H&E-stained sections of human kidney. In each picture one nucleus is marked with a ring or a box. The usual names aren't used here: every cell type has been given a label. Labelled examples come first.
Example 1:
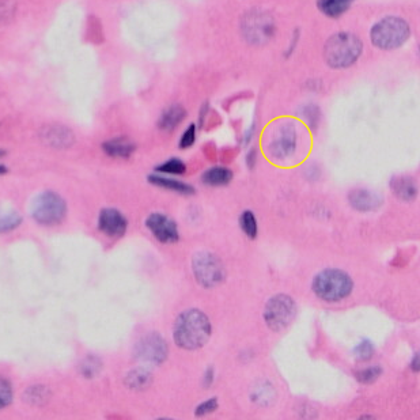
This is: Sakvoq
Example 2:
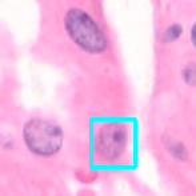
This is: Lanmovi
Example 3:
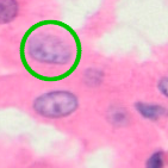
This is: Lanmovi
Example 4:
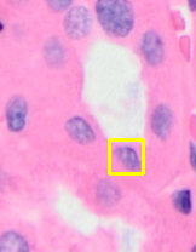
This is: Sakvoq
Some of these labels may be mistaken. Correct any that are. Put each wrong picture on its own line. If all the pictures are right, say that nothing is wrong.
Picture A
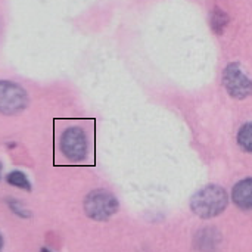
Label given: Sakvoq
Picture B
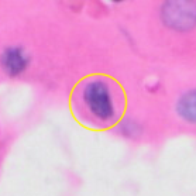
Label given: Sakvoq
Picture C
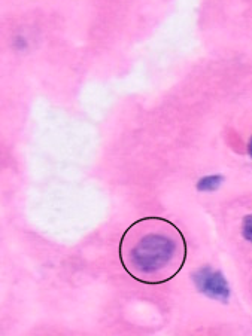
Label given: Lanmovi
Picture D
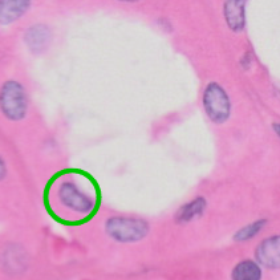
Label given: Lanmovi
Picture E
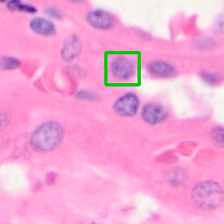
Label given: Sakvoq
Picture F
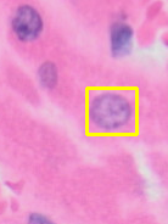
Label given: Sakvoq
D should be Sakvoq, not Lanmovi
F should be Lanmovi, not Sakvoq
